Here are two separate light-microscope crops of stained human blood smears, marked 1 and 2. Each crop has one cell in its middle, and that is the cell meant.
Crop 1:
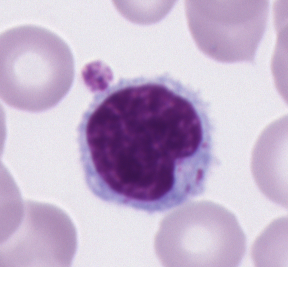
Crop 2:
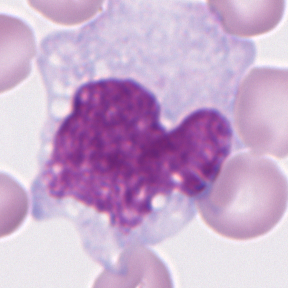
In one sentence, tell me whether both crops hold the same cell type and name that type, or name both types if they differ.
No, crop 1 shows a large granular lymphocyte, whereas in crop 2 the cell is a monocyte.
